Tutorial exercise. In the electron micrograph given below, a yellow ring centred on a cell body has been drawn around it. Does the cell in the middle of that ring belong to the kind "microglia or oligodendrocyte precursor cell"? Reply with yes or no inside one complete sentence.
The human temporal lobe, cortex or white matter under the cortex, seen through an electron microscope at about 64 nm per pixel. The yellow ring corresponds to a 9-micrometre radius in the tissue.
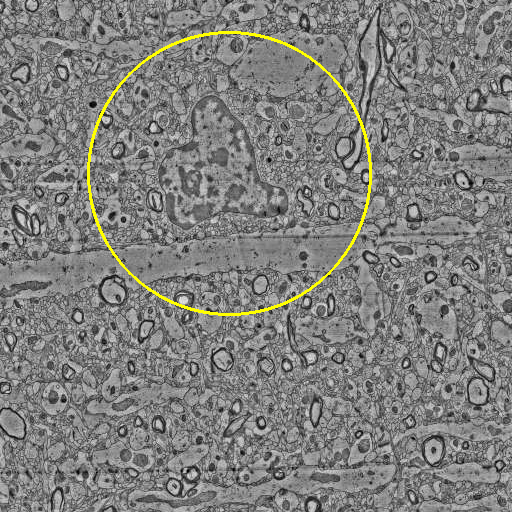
Yes, the cell at the centre of the ring in the picture is of that kind.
